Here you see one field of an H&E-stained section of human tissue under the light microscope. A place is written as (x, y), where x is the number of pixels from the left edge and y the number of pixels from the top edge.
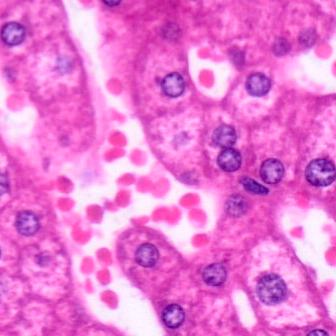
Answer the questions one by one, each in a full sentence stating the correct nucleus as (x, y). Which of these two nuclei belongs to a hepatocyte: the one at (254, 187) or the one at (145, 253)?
Between the two nuclei, the one sitting at (145, 253) belongs to a hepatocyte.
